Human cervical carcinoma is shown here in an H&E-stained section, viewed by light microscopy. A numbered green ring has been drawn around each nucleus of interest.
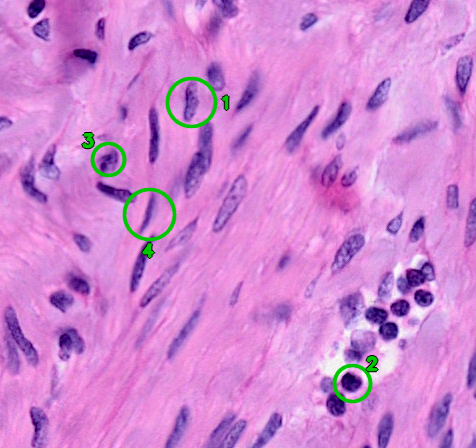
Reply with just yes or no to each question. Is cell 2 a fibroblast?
no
